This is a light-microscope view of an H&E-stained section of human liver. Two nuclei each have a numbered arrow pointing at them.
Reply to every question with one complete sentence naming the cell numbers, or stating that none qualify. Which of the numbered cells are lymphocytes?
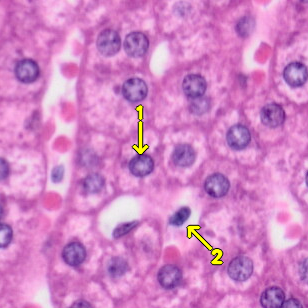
Among the cells marked with numbers, the only one that is a lymphocyte is number 2.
